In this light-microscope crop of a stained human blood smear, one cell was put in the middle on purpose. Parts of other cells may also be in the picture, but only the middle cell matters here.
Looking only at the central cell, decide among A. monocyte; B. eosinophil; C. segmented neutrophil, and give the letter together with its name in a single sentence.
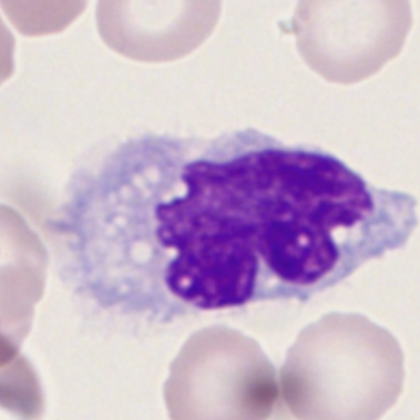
The one cell at the centre is a monocyte, as correctly stated in option A.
